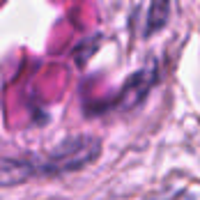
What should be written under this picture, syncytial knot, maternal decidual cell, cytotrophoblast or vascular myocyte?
vascular myocyte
